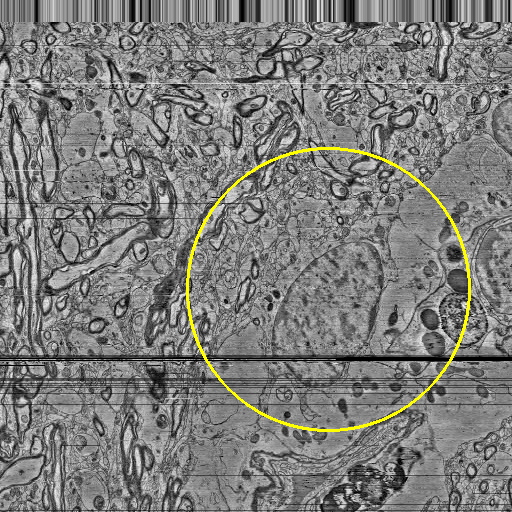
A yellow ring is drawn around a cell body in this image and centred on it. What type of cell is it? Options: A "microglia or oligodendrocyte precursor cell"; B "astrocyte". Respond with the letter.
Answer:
A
